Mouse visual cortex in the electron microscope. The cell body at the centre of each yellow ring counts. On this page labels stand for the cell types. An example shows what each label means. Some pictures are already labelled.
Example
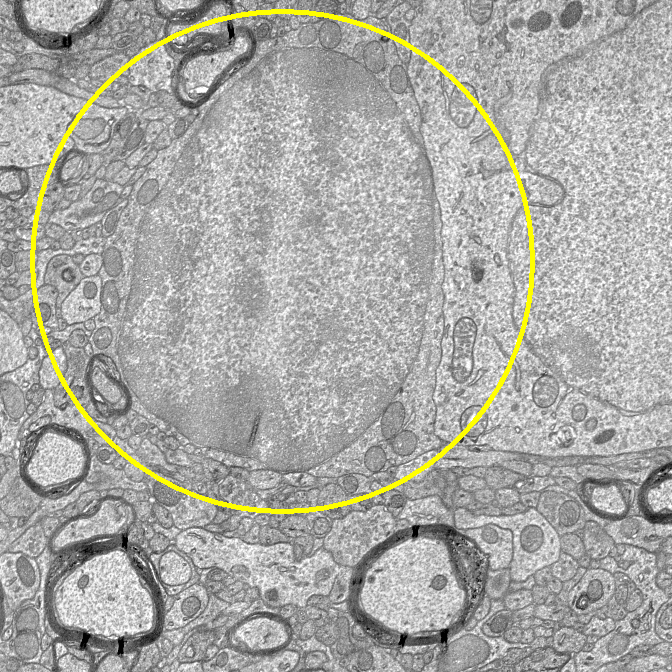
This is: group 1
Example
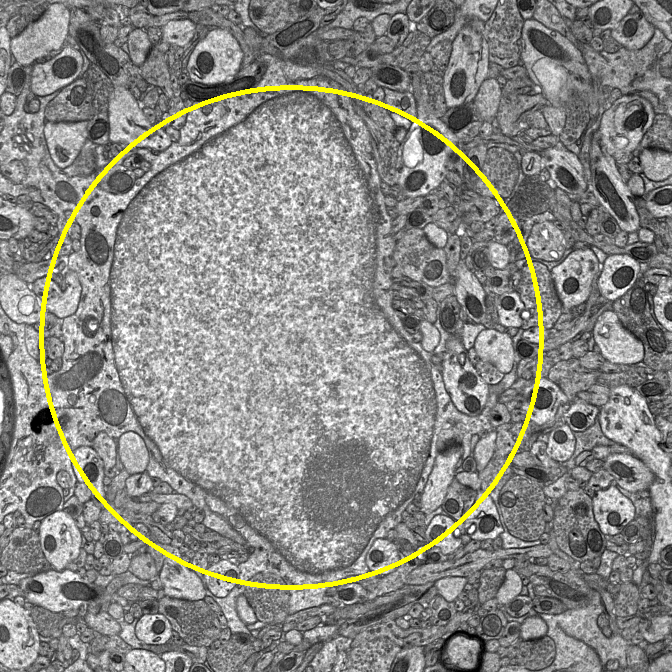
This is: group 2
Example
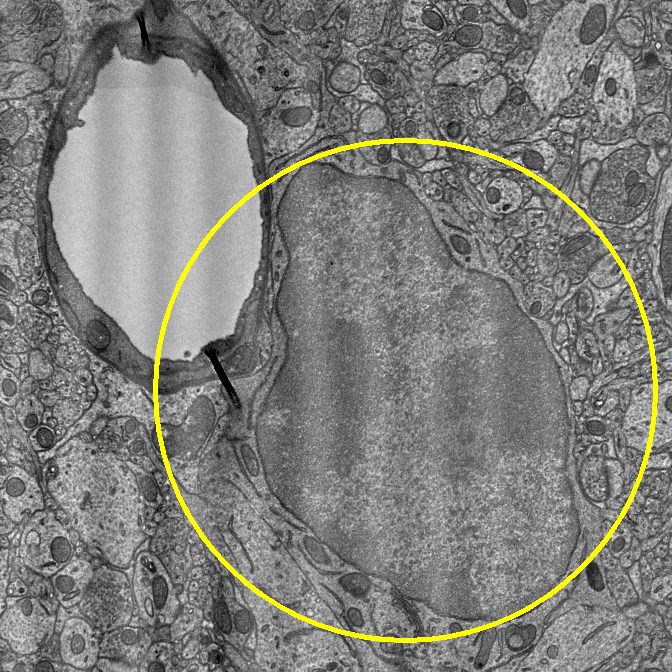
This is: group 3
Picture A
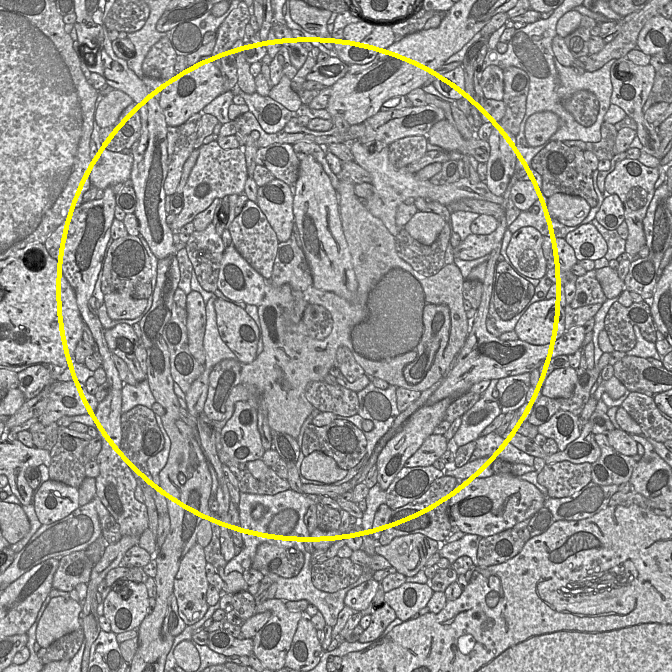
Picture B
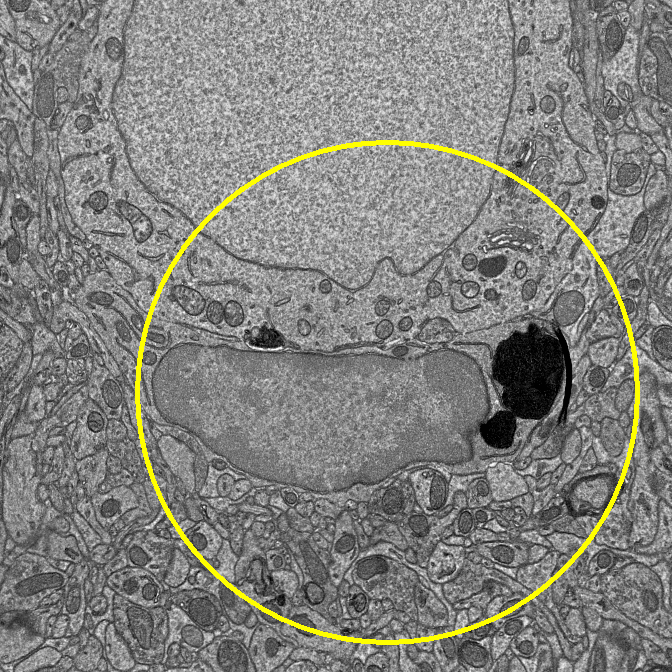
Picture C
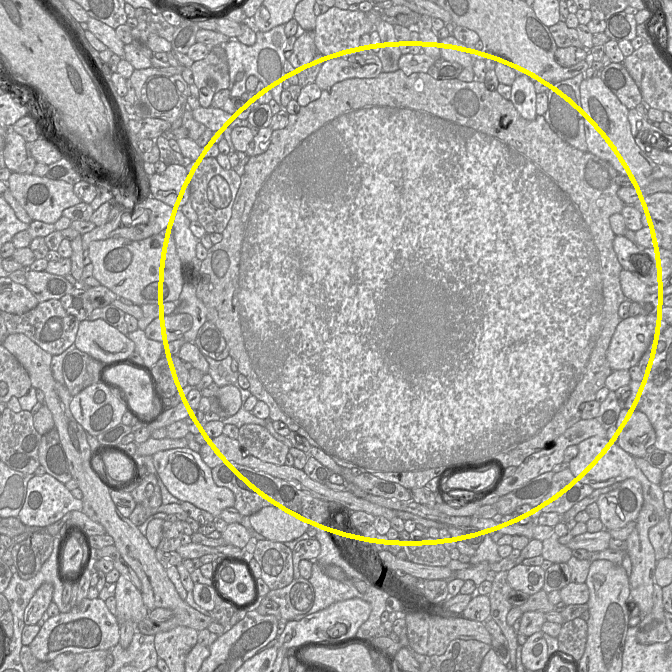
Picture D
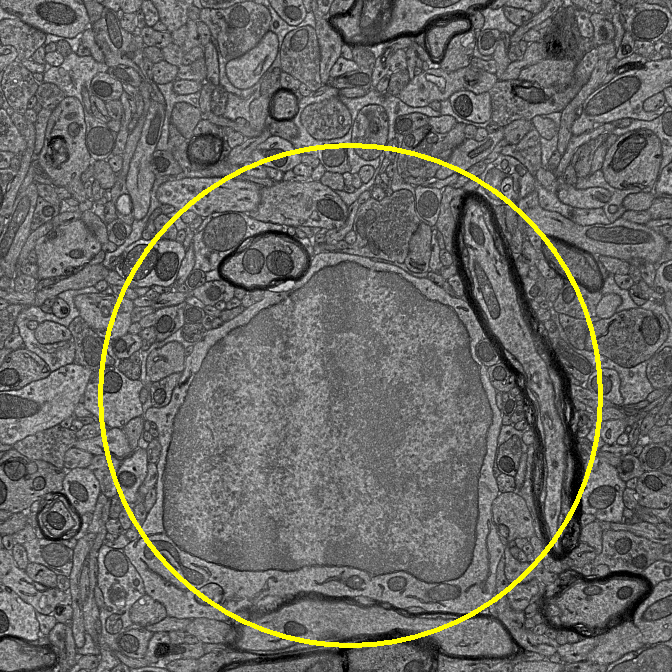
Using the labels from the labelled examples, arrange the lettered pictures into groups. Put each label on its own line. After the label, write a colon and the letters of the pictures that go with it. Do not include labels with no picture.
group 1: C
group 3: A, B, D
